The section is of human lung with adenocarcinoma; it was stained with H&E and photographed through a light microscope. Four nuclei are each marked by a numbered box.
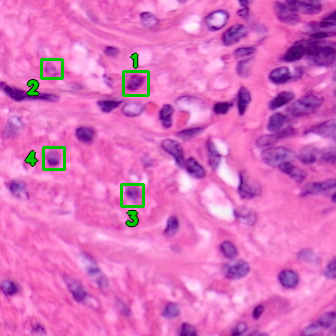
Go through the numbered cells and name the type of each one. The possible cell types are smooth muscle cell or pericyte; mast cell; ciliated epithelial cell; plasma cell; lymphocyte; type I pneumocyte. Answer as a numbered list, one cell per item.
1. mast cell
2. smooth muscle cell or pericyte
3. smooth muscle cell or pericyte
4. smooth muscle cell or pericyte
